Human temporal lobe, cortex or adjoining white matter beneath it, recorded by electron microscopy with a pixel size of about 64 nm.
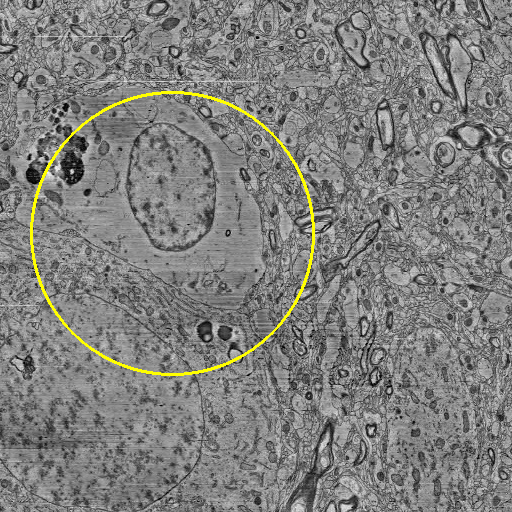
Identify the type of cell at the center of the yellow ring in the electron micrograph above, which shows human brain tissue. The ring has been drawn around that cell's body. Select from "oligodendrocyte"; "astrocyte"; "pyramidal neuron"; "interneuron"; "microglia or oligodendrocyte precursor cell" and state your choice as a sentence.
The yellow ring is centered on the body of an astrocyte.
